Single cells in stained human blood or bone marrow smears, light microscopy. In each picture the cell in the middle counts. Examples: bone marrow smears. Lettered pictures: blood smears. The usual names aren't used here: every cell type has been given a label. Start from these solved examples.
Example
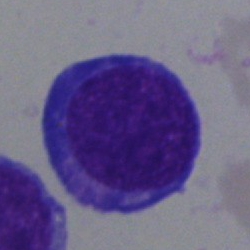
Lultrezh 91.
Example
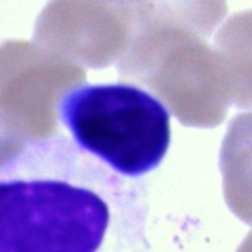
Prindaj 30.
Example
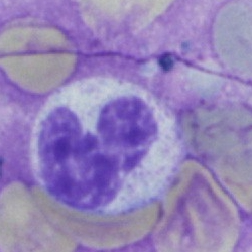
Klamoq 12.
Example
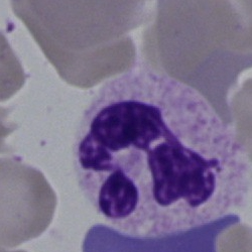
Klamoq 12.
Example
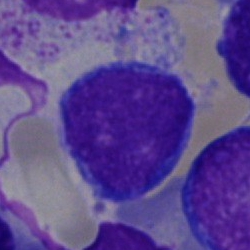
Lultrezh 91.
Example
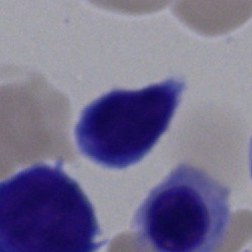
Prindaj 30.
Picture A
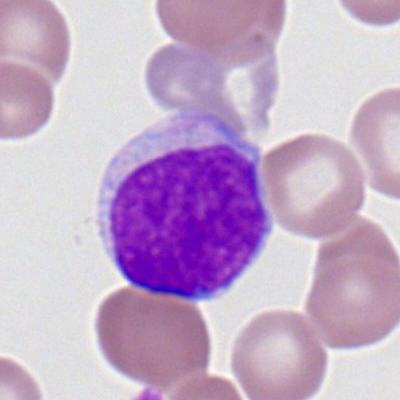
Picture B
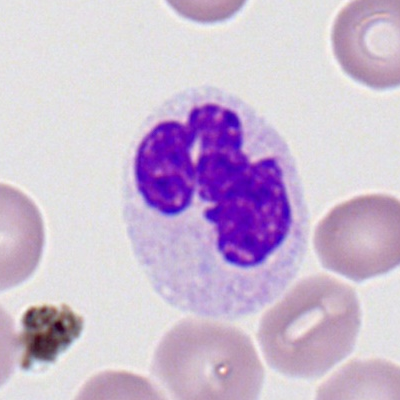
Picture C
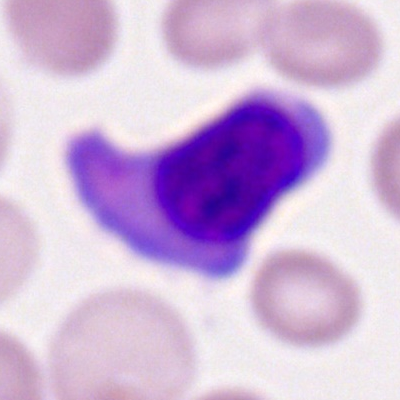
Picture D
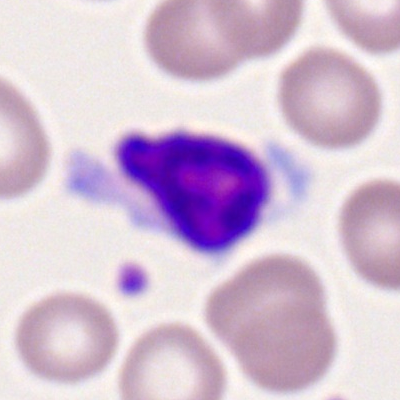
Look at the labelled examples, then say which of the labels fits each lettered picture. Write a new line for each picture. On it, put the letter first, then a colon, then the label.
A: Lultrezh 91.
B: Klamoq 12.
C: Prindaj 30.
D: Prindaj 30.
